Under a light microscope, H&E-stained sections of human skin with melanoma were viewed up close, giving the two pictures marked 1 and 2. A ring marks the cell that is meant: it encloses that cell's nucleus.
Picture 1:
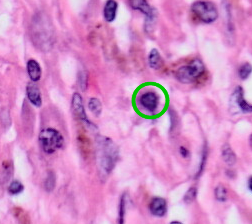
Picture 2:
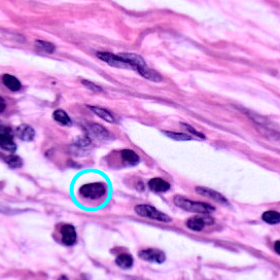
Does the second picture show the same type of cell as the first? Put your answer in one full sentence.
Yes, the two pictures both show plasma cells.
